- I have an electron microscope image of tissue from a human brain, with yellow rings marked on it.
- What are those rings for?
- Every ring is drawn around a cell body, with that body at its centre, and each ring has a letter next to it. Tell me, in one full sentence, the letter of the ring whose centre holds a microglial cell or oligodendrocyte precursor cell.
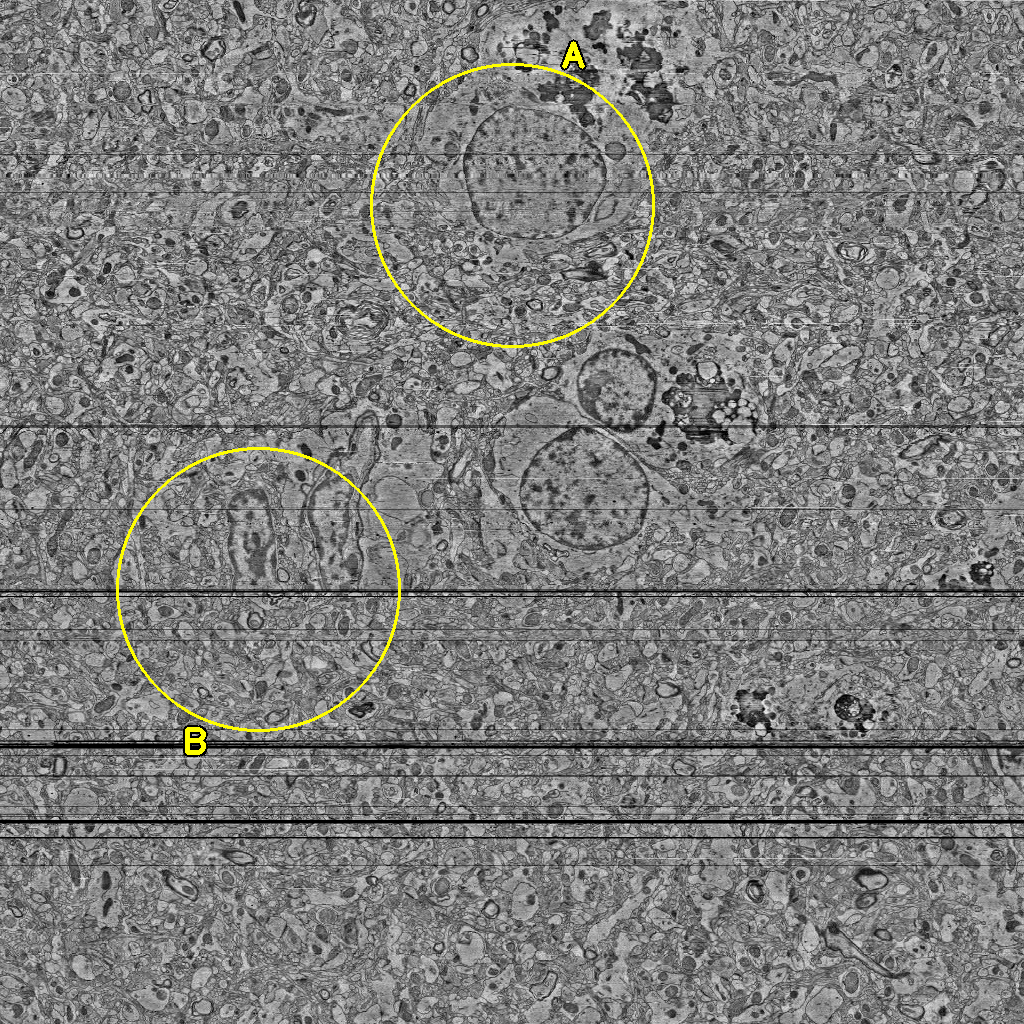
In the picture, the cell asked for sits at the centre of ring B.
